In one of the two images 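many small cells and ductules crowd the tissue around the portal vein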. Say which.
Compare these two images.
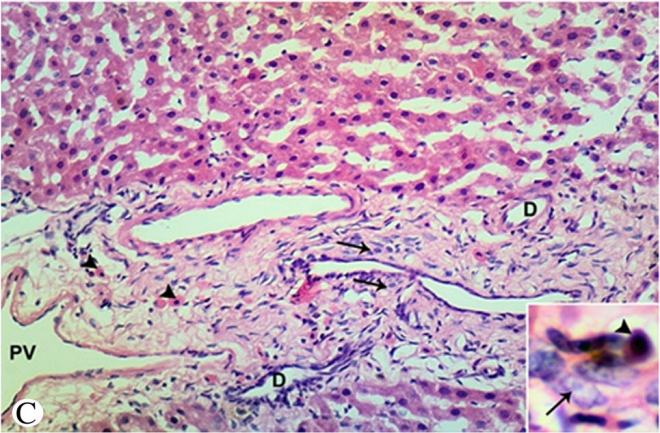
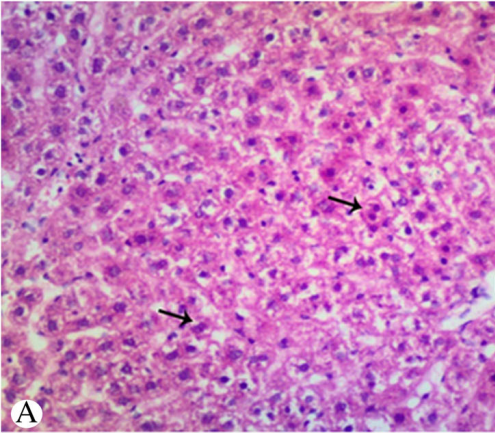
The first image.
